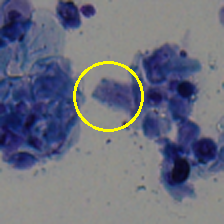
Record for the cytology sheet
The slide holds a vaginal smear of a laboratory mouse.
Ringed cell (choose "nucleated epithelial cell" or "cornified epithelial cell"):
cornified epithelial cell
